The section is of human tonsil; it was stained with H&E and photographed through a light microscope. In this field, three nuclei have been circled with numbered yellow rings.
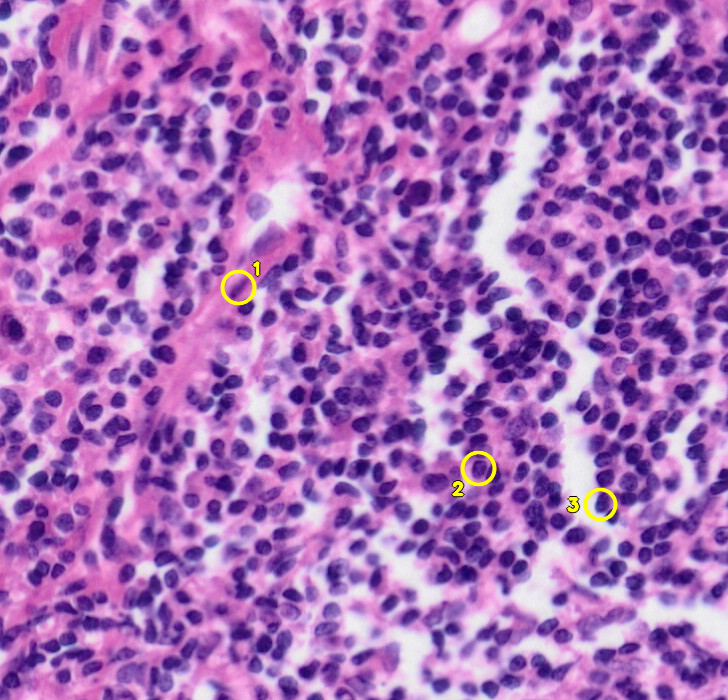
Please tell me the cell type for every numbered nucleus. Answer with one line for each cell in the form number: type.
1: endothelial cell
2: small lymphocyte
3: small lymphocyte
